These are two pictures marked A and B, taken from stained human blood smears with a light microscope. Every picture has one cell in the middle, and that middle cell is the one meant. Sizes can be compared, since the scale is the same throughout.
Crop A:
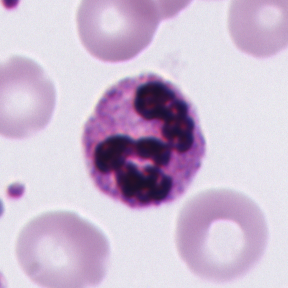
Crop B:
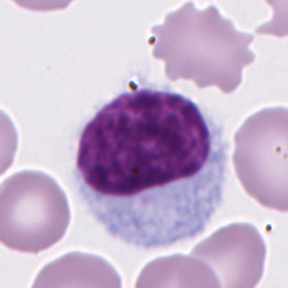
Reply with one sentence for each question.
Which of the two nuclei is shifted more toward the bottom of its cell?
Seen within its cell, the nucleus in crop A lies further toward the bottom.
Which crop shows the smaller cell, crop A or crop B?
Crop A holds the smaller cell, since the cell in crop B covers about 1.5 times as much area.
